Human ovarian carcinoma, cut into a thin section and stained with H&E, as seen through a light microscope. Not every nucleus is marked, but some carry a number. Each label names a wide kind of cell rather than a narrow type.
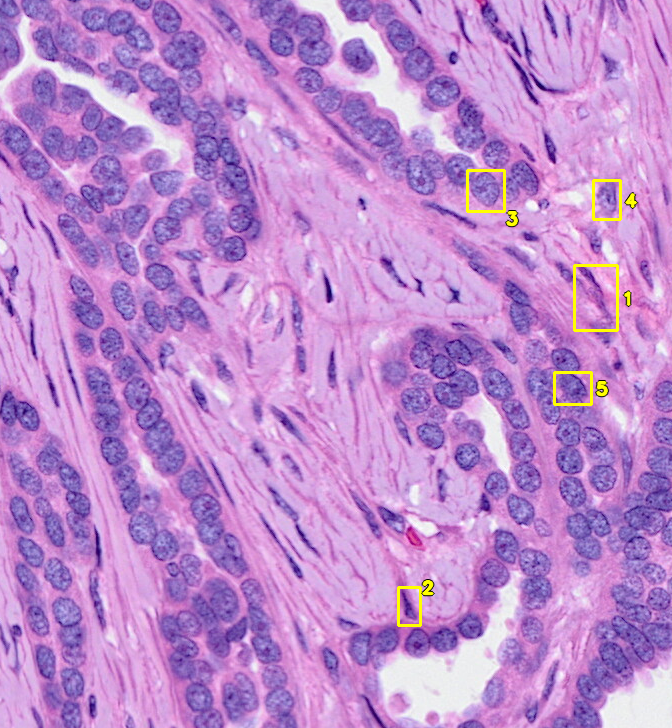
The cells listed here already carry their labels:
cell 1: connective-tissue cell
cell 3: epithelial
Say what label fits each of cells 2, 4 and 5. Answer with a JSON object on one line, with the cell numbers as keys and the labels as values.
{"2": "connective-tissue cell", "4": "connective-tissue cell", "5": "epithelial"}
